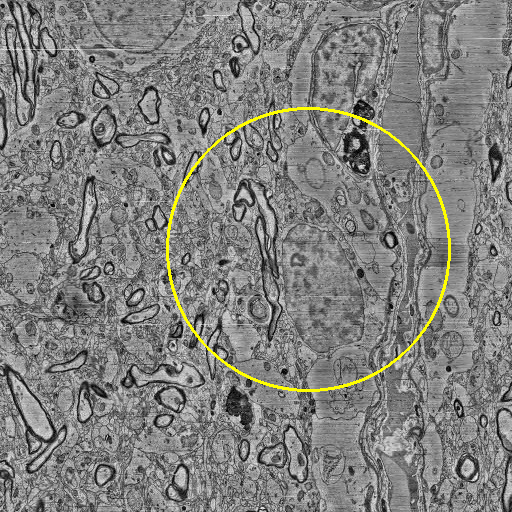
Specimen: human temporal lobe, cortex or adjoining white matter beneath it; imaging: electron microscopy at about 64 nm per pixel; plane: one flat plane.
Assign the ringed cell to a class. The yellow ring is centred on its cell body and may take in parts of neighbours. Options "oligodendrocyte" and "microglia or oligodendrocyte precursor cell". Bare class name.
oligodendrocyte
